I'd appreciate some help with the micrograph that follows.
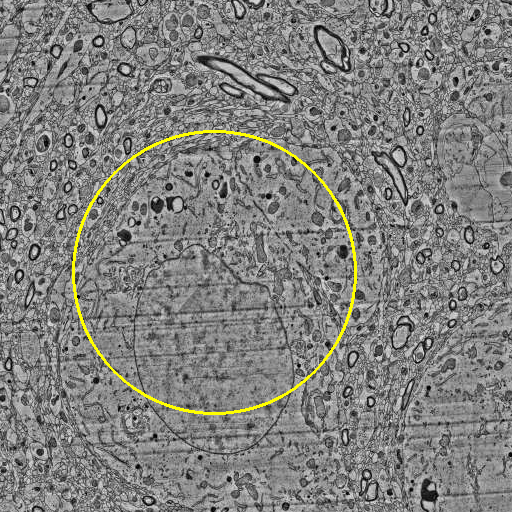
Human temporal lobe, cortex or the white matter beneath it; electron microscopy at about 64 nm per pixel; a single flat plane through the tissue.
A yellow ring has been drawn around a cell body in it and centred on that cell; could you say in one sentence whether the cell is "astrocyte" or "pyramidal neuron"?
It is a pyramidal neuron at the centre of the ring.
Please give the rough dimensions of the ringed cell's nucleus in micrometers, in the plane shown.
The nucleus appears roughly 13 by 10 micrometres in this plane.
